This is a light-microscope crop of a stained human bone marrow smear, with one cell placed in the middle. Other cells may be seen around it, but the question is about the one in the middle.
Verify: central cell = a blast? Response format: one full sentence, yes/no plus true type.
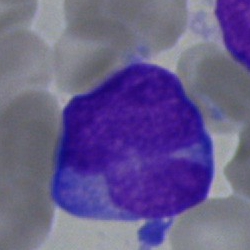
Yes, in the centre of this field sits a blast.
